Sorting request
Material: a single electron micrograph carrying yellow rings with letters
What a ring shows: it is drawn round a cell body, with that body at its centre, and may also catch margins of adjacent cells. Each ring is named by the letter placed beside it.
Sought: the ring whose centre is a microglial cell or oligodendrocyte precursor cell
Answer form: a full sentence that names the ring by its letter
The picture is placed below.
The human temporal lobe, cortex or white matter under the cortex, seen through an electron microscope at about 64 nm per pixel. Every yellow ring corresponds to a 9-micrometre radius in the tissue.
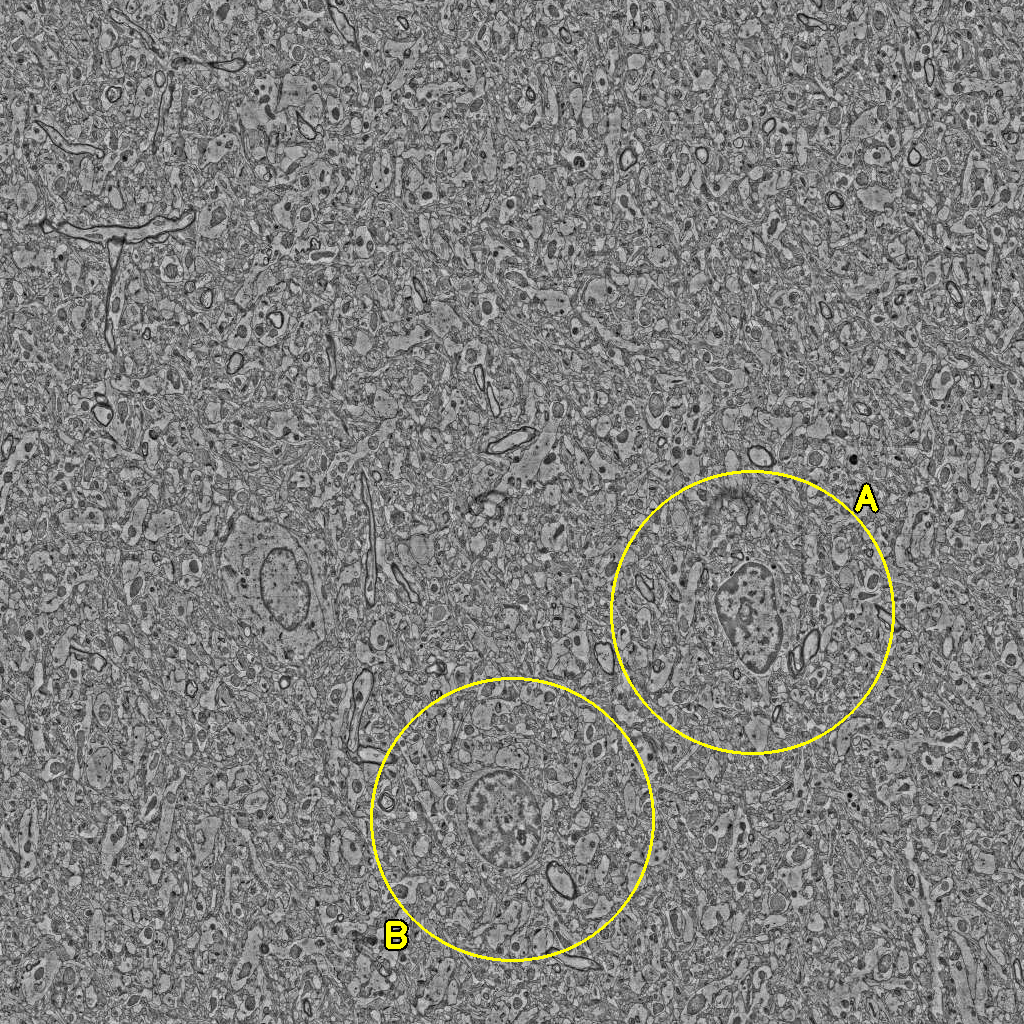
The ring centred on the cell asked for carries the letter A.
